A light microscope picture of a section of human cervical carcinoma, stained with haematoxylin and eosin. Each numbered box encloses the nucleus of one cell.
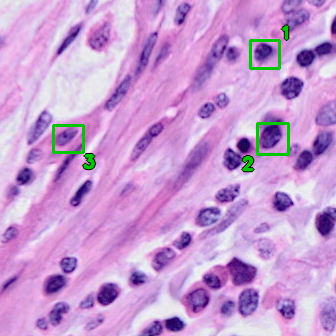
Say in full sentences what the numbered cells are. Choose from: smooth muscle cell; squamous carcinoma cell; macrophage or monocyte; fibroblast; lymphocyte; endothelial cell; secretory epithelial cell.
Cells 1 and 2 are lymphocytes. Cell 3 is an endothelial cell.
